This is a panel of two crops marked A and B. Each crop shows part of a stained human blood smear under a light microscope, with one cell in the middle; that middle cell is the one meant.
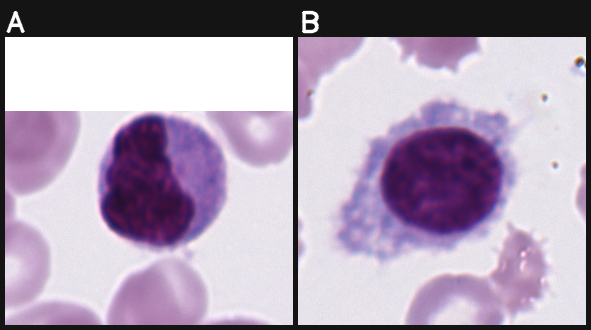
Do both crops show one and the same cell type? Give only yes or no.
no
